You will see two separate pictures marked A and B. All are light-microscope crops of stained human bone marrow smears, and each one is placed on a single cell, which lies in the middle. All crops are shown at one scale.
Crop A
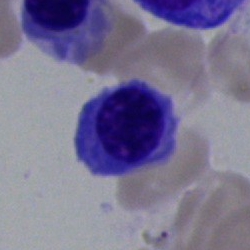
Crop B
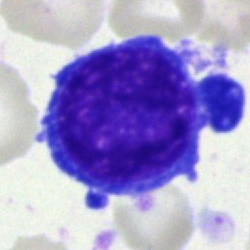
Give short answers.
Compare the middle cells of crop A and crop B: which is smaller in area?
A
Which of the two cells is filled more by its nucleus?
B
